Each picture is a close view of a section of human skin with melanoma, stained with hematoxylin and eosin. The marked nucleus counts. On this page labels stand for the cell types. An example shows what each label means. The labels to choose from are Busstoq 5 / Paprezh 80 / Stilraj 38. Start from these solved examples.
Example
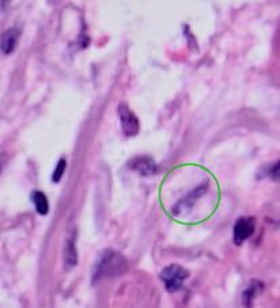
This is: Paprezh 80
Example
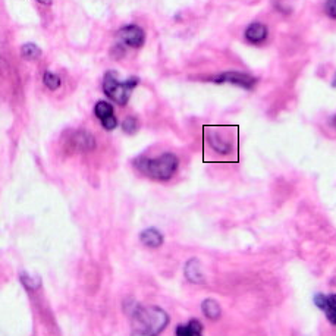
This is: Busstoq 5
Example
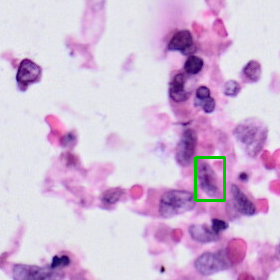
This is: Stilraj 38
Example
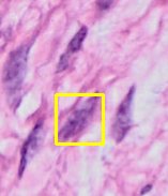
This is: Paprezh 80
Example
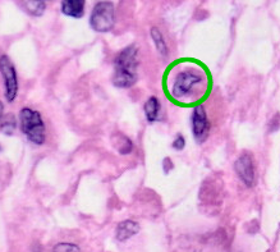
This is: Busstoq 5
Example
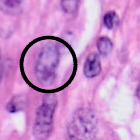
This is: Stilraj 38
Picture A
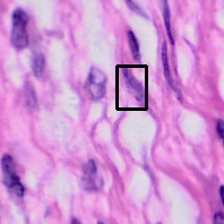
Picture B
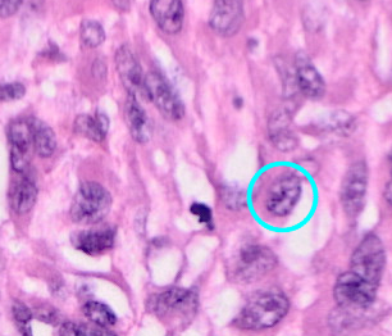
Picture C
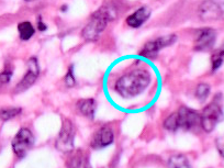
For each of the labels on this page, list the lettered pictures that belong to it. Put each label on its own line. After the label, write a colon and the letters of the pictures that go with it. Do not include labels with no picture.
Paprezh 80: A
Stilraj 38: B, C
